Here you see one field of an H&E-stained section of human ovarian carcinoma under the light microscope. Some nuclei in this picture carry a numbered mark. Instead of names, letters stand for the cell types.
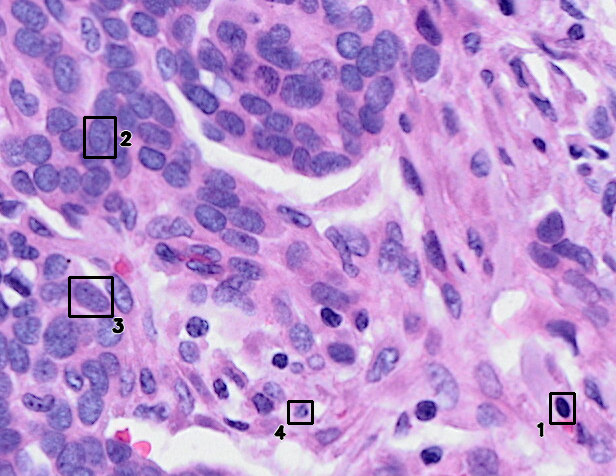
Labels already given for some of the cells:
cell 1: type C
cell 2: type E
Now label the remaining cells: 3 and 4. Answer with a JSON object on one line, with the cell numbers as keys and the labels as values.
{"3": "type E", "4": "type C"}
